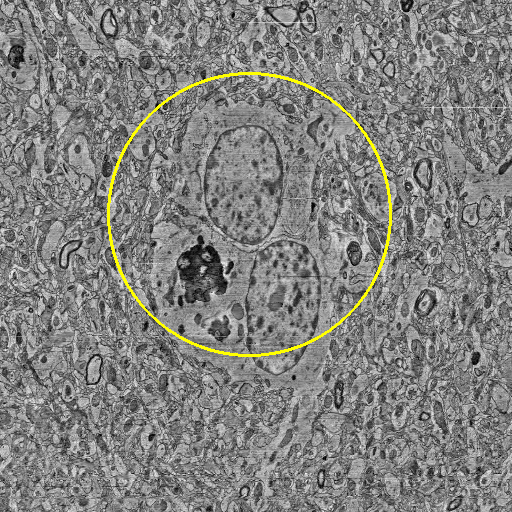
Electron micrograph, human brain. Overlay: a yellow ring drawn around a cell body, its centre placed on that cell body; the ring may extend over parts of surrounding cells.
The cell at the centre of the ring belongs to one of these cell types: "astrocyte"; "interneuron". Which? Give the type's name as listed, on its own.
astrocyte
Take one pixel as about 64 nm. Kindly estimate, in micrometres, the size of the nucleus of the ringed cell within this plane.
Clearly longer than it is wide in this plane, the nucleus measures roughly 8 by 5 micrometres.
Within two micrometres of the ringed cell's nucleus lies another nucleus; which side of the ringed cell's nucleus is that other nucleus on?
That other nucleus lies below it.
